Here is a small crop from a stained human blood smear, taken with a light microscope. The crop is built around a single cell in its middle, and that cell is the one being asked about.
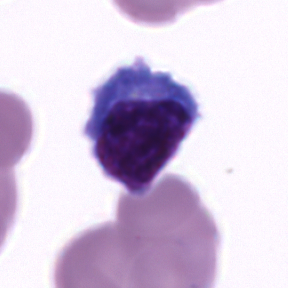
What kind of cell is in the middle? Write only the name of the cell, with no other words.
plasma cell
